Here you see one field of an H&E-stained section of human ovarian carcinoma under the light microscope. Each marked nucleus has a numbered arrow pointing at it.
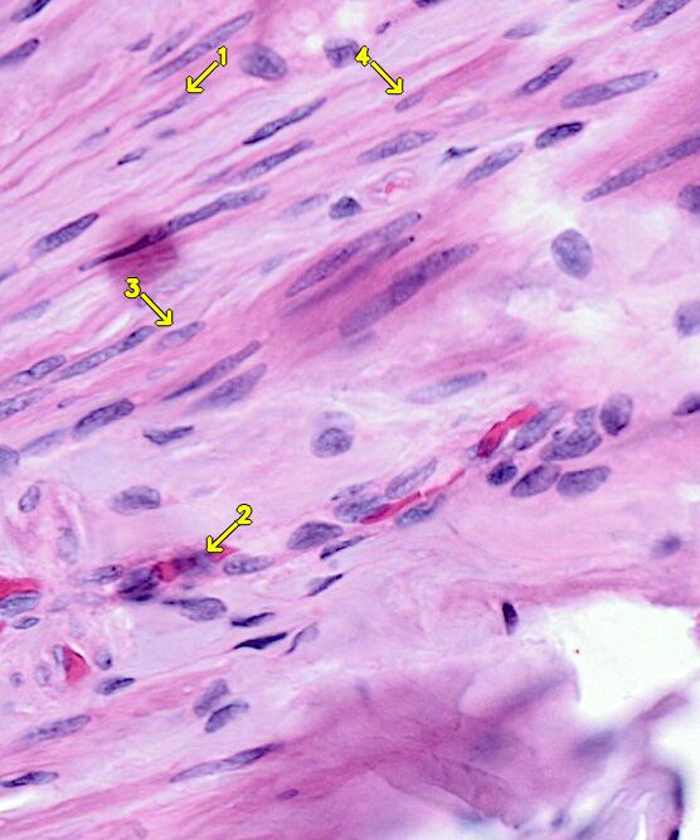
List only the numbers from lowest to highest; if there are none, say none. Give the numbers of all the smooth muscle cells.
1, 3, 4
